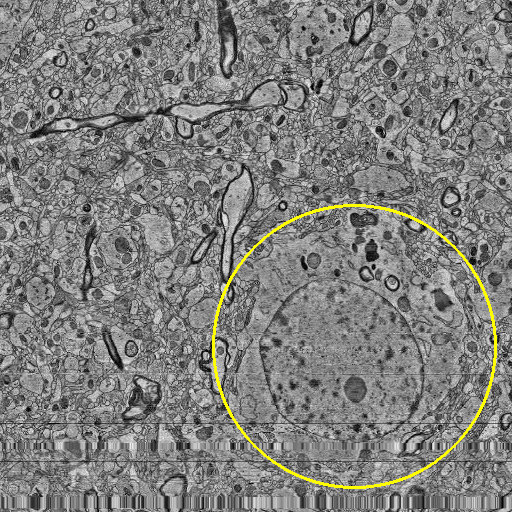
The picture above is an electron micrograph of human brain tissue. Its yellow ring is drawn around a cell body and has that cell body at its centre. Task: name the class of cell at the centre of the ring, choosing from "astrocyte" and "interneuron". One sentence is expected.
The ring surrounds the body of an astrocyte.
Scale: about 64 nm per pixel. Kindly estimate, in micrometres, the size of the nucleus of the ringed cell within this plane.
The nucleus is approximately 11 micrometers across in this plane.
